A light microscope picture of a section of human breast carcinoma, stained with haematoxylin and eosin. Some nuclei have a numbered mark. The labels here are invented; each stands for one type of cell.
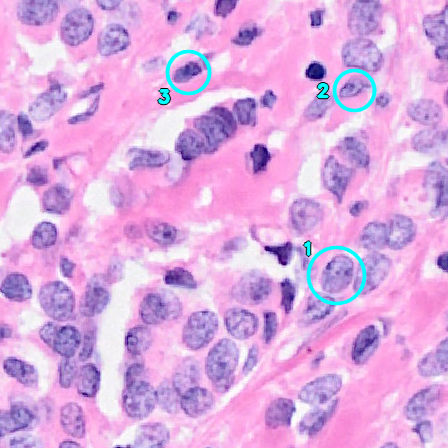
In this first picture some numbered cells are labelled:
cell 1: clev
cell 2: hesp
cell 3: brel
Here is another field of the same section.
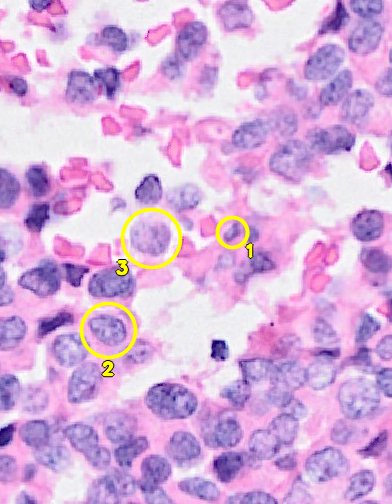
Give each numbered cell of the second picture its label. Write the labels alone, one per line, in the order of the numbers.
hesp
clev
clev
